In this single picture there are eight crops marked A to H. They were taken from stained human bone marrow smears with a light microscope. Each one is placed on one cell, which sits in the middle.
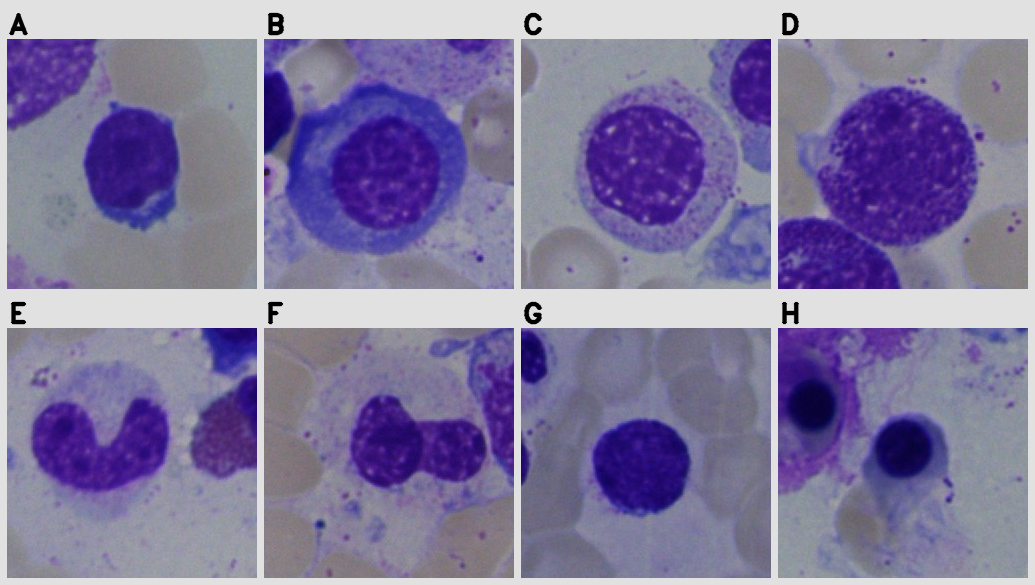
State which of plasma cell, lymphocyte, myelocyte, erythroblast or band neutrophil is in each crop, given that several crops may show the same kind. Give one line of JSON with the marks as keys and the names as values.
{"A": "lymphocyte", "B": "plasma cell", "C": "myelocyte", "D": "myelocyte", "E": "band neutrophil", "F": "band neutrophil", "G": "lymphocyte", "H": "erythroblast"}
